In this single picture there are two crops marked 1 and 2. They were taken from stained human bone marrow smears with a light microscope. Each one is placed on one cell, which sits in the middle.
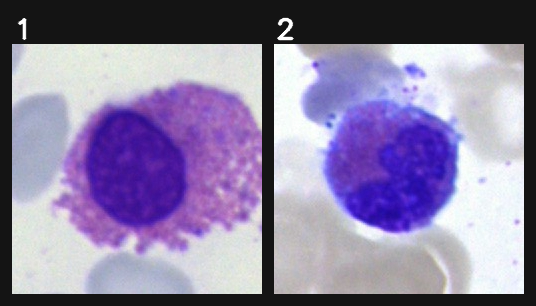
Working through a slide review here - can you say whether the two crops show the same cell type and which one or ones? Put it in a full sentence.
Yes, both crops are centred on cells that are eosinophils.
